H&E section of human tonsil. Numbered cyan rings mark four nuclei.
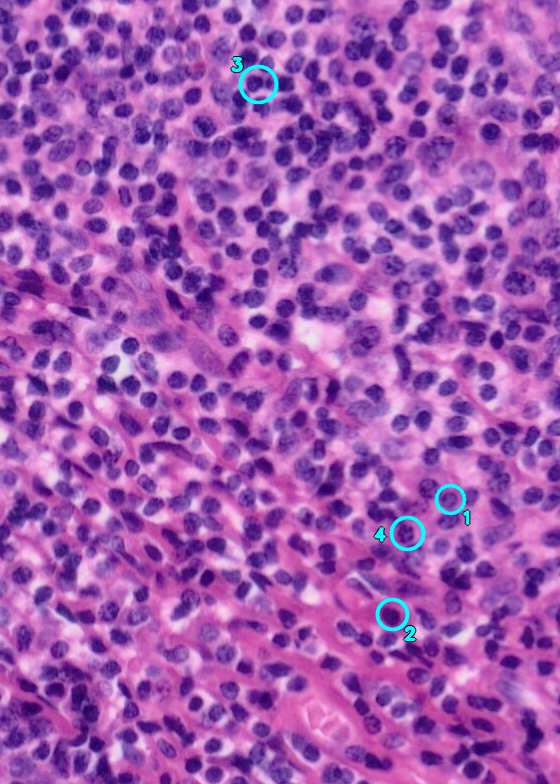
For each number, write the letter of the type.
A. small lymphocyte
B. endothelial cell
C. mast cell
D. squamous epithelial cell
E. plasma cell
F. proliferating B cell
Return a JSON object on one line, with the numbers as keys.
{"1": "E", "2": "E", "3": "A", "4": "E"}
